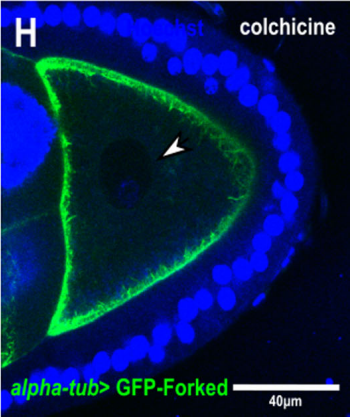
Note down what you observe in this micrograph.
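Here the posterior part of an egg chamber shows the oocyte surrounded by a row of small follicle cells with round blue nuclei. The green signal forms a bright thin line along the oocyte cortex with short filaments just beneath it, while the interior is largely dark. An arrowhead points to a round darker area inside the oocyte, its nucleus, and a large blue nucleus of a neighbouring big cell lies at the left edge.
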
